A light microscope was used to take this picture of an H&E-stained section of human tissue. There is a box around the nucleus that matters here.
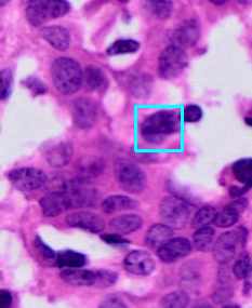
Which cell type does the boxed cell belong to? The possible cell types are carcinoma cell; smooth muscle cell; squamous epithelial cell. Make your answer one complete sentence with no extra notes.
The category to which the boxed cell belongs is that of a carcinoma cell.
